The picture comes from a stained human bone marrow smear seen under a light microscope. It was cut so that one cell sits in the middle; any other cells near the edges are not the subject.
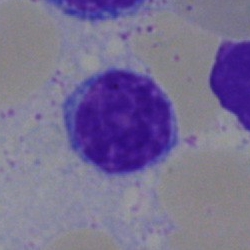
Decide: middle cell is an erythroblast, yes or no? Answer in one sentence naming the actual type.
No, the centre of the crop contains a lymphocyte rather than an erythroblast.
